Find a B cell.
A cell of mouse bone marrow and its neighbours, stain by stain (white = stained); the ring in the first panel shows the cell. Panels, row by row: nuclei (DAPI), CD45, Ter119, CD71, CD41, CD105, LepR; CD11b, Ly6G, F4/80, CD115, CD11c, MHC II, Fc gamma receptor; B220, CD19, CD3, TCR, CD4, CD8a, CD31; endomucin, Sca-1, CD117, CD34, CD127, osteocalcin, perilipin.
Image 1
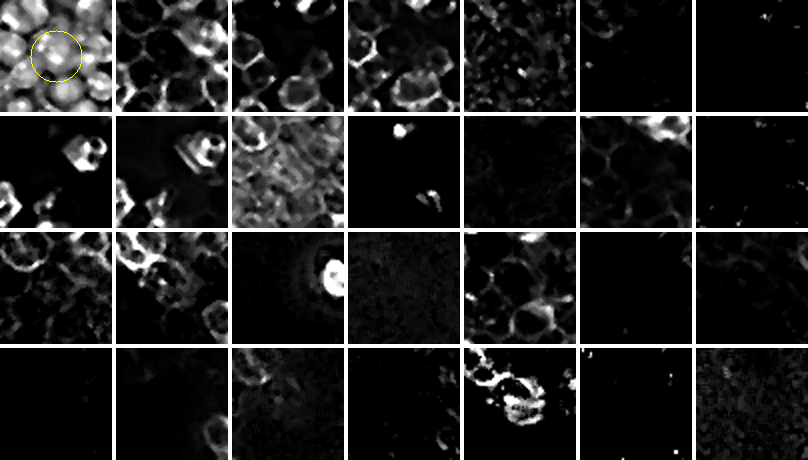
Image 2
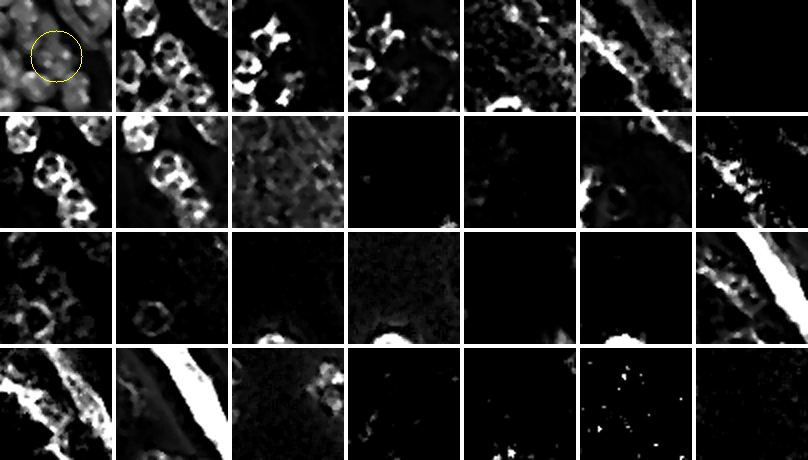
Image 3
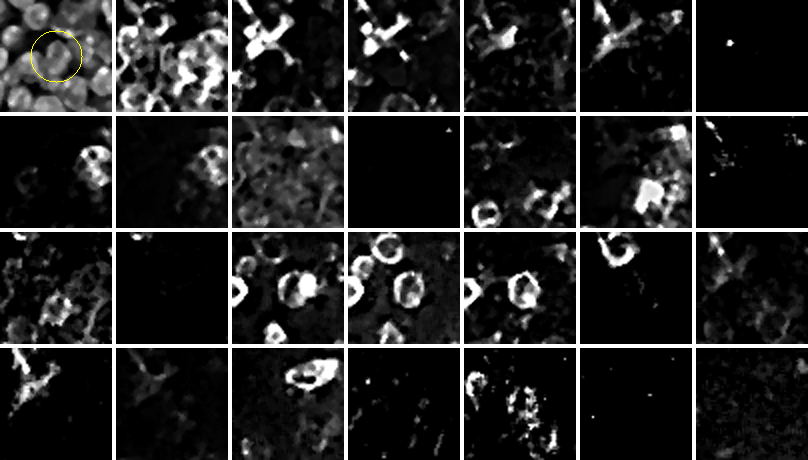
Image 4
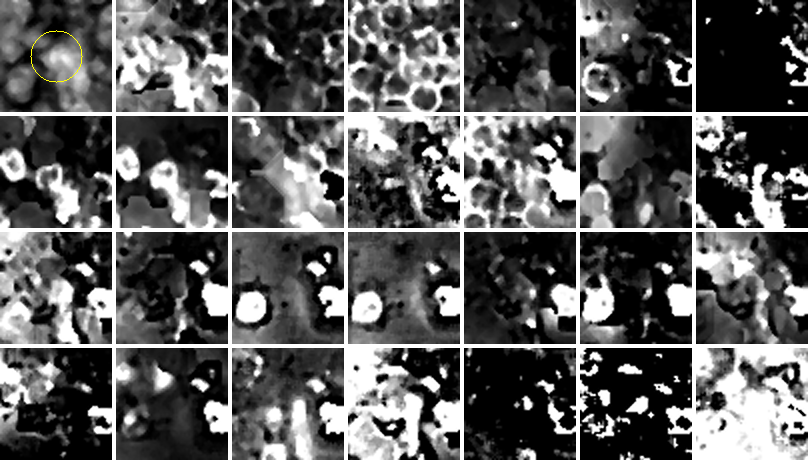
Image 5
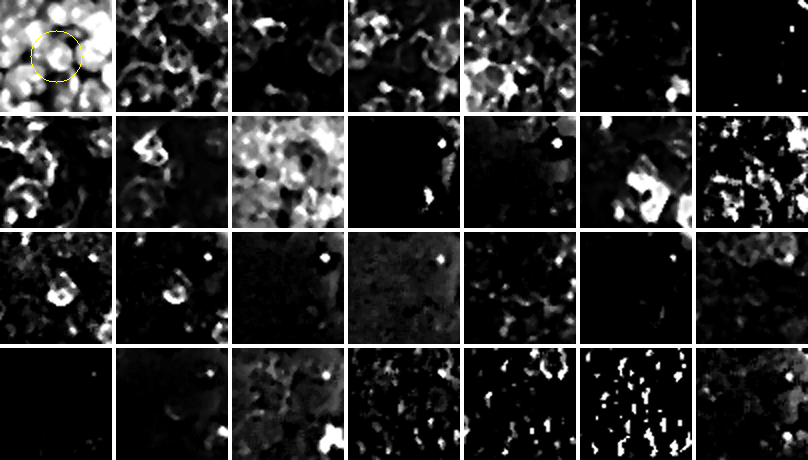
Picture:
5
